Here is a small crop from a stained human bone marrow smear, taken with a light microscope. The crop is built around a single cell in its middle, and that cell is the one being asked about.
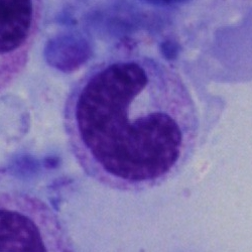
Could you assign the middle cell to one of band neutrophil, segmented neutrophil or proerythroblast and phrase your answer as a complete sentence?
The cell at the middle of the crop is recognized as a band neutrophil.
